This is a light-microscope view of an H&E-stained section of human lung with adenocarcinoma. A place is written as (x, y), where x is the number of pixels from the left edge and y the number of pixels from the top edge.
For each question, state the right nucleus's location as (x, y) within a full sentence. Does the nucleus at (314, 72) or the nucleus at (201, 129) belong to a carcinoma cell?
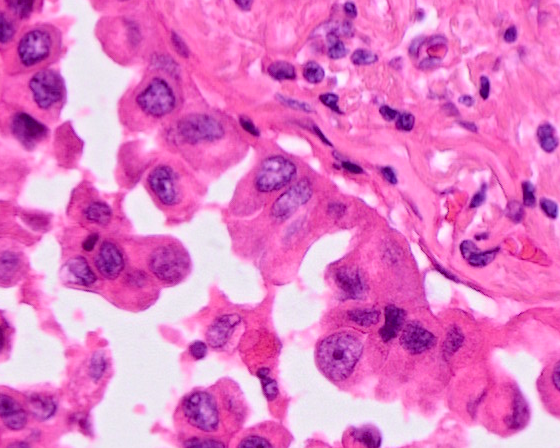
The nucleus lying at (201, 129) is the nucleus of a carcinoma cell.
